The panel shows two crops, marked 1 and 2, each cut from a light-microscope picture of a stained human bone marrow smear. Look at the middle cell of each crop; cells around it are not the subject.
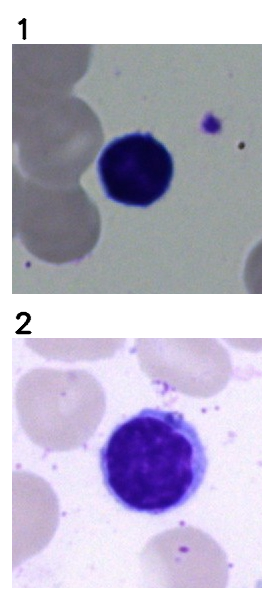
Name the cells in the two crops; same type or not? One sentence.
Yes, the cells at the centres of the two crops are lymphocytes.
